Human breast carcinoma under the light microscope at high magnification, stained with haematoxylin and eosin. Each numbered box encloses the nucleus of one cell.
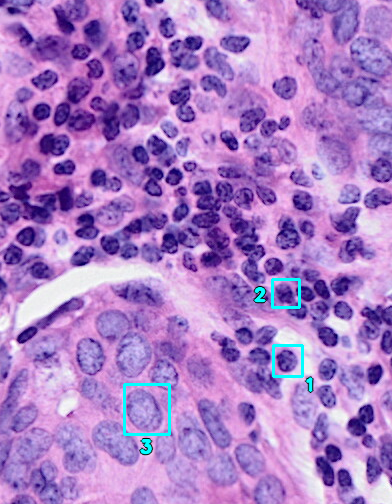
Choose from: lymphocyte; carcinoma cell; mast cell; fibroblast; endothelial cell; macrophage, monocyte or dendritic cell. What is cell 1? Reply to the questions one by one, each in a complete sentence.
The cell given label 1 is a lymphocyte.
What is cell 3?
Within this field of view, the cell labelled 3 is a carcinoma cell.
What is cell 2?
The numbered cell 2 in this field is a lymphocyte.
